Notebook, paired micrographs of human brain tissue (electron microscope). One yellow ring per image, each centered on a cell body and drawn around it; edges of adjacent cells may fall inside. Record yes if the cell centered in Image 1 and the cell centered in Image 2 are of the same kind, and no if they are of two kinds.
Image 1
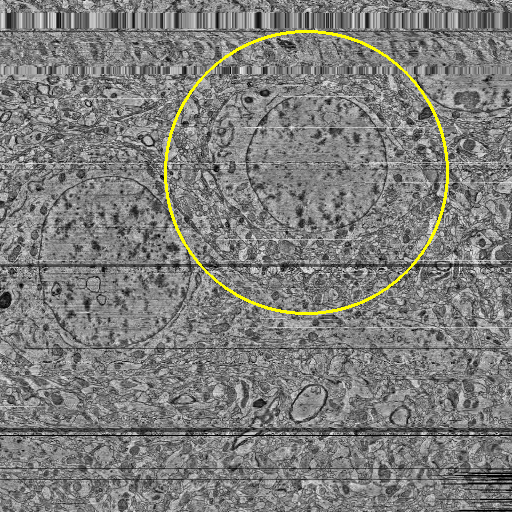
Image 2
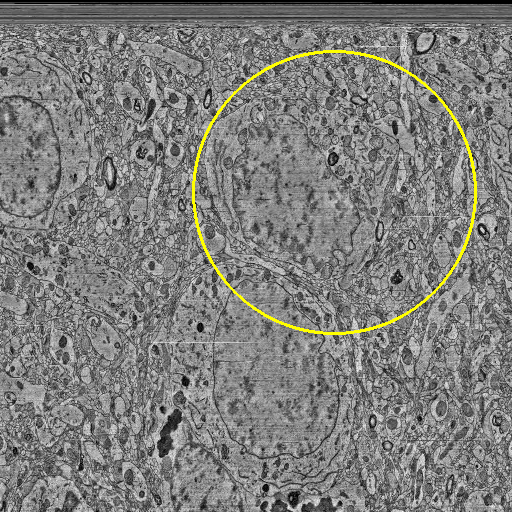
no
